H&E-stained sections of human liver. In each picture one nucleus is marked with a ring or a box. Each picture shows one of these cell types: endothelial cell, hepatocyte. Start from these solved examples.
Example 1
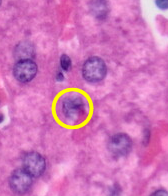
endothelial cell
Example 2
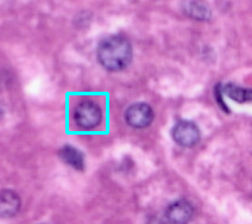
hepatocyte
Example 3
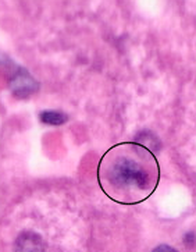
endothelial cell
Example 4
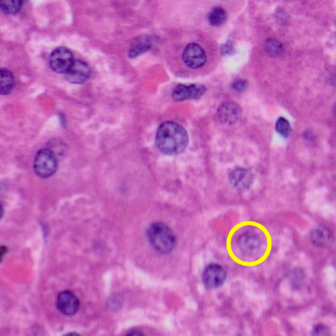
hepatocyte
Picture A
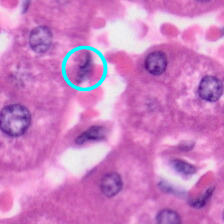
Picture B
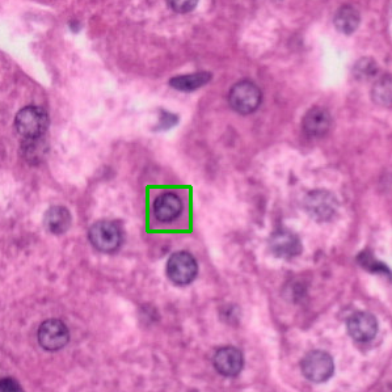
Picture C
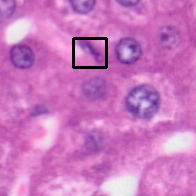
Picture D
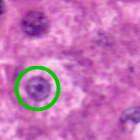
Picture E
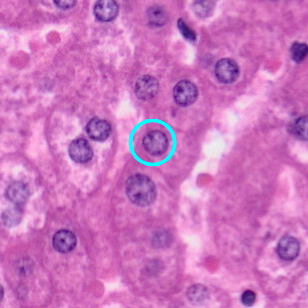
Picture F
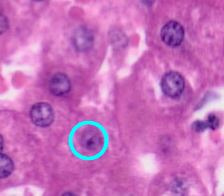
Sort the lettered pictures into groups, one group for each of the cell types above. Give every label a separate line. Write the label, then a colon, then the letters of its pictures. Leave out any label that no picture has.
endothelial cell: A, C
hepatocyte: B, D, E, F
